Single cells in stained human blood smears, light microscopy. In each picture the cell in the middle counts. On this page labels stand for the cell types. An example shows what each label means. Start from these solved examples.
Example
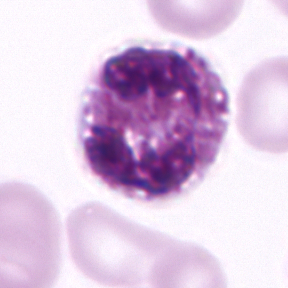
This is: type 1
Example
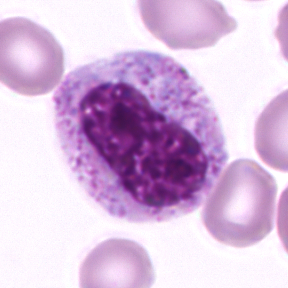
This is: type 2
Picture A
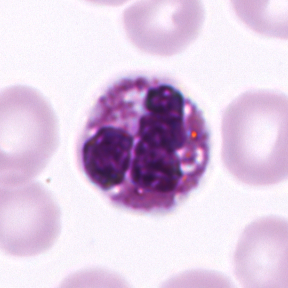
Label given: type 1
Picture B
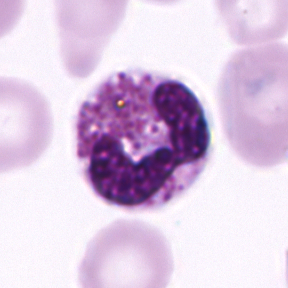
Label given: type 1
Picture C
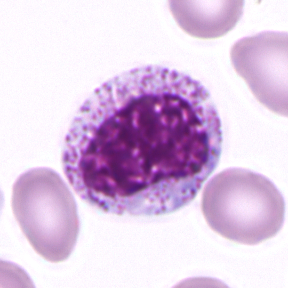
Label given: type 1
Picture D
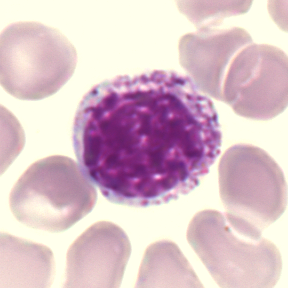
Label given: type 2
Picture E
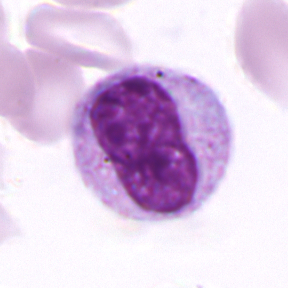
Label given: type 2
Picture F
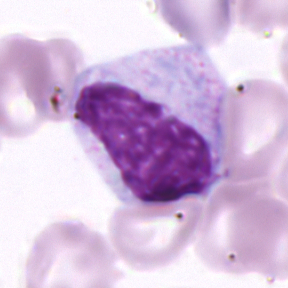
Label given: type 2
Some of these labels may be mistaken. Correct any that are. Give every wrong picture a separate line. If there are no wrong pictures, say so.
C is labelled type 1; correct label: type 2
